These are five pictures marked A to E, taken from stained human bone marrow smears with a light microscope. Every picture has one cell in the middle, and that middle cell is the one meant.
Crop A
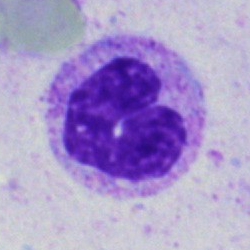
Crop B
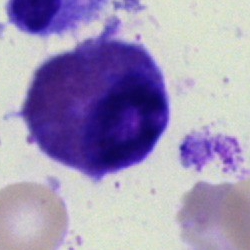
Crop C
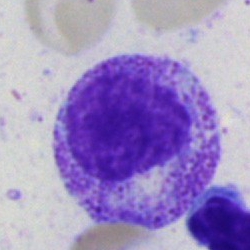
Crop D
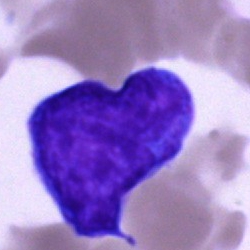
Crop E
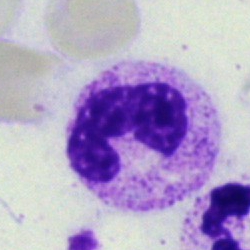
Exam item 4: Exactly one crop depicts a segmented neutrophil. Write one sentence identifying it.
Selected crop: E, which is the one that shows a segmented neutrophil.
